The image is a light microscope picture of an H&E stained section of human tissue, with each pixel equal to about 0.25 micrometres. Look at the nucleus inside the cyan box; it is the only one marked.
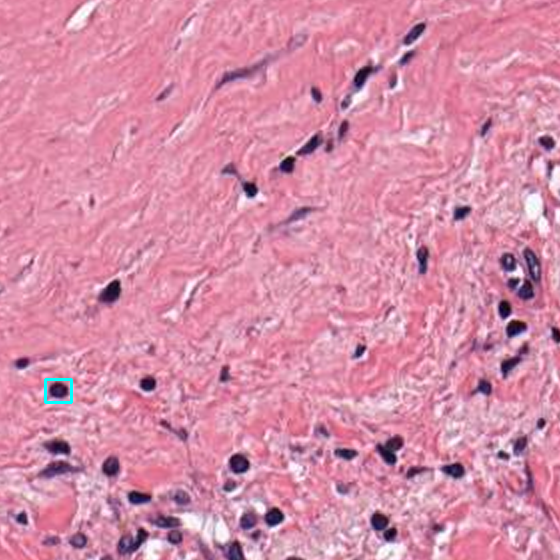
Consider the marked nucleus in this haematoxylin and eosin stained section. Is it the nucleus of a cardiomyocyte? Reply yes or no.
no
